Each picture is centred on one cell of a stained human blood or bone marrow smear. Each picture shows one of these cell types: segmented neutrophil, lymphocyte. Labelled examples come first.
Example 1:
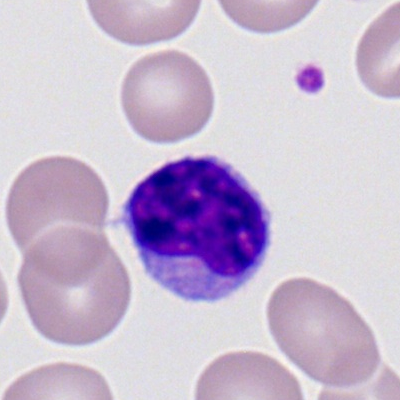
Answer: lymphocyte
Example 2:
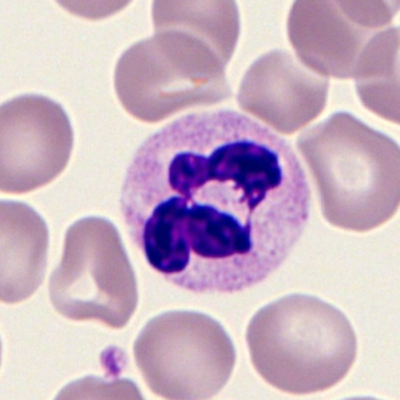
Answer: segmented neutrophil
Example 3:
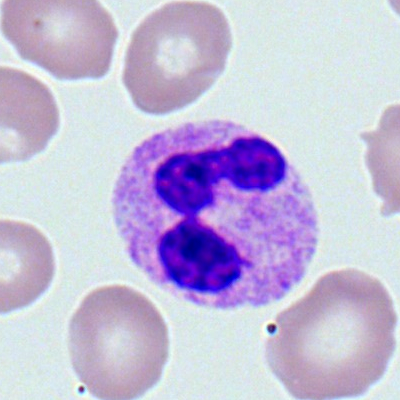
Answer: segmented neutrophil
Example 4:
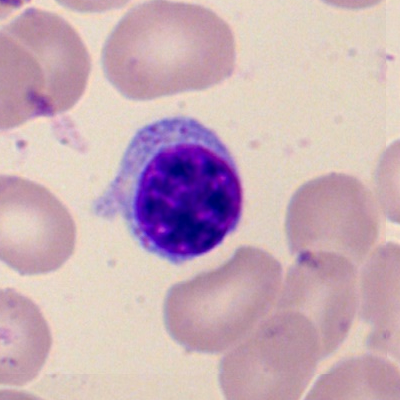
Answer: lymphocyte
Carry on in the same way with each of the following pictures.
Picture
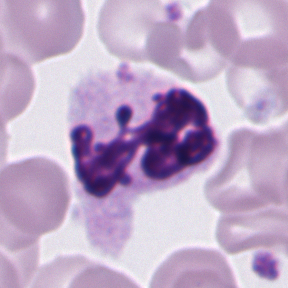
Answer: segmented neutrophil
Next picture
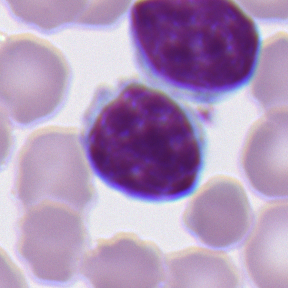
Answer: lymphocyte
